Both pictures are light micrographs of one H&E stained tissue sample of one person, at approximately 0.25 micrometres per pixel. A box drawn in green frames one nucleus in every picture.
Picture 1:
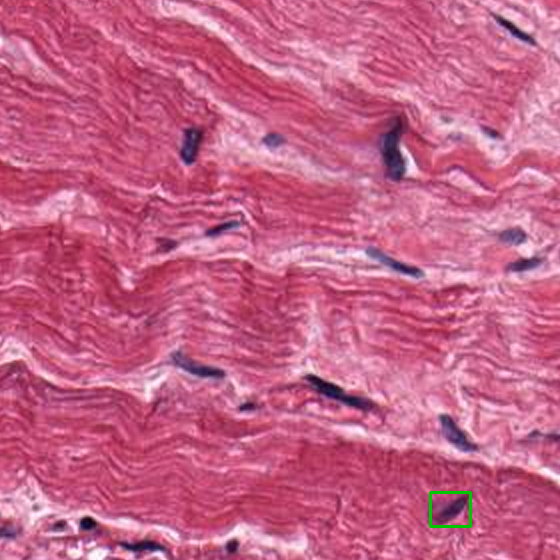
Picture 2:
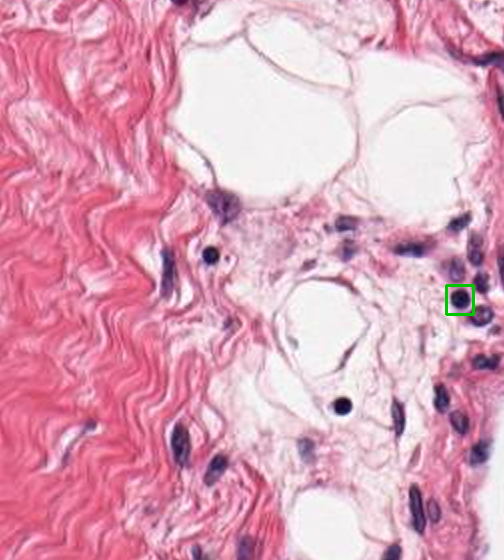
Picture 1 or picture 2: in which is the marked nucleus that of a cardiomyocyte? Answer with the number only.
1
